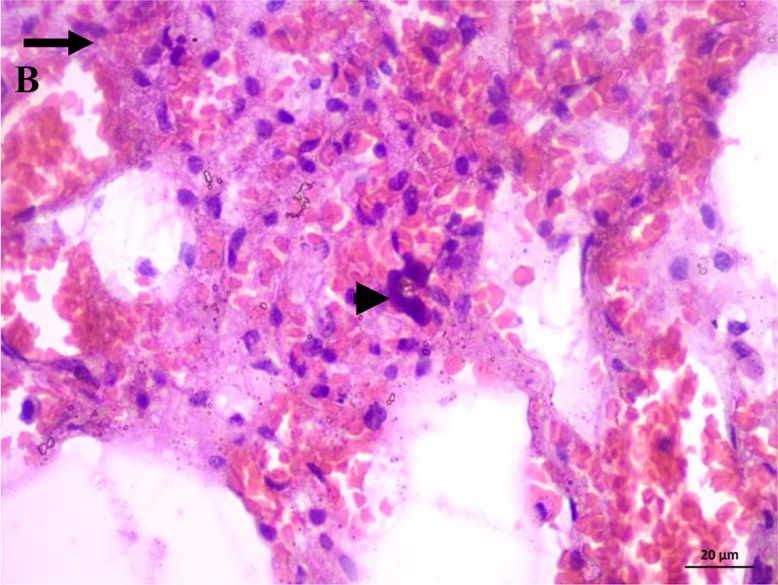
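Lung tissue at high magnification is crowded with red-orange red blood cells that fill the alveolar walls and spill into the air spaces. Scattered purple nuclei of inflammatory and lining cells lie among the red cells, set in pale pink, wispy material. Near the centre a single large cell with a dark, dense, lobed nucleus stands out against the smaller surrounding nuclei. Clear, empty air spaces remain at the edges of the field.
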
